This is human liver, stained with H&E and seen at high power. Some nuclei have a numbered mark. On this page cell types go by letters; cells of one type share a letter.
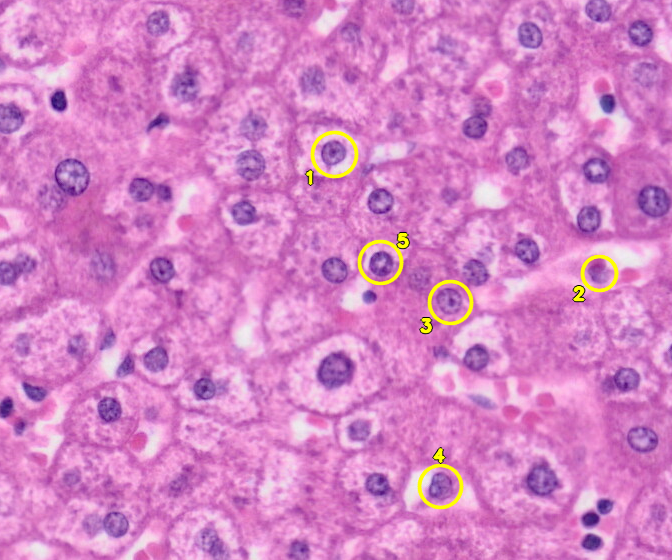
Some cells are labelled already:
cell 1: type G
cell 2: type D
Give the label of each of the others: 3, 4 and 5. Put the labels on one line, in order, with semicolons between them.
type G; type D; type G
